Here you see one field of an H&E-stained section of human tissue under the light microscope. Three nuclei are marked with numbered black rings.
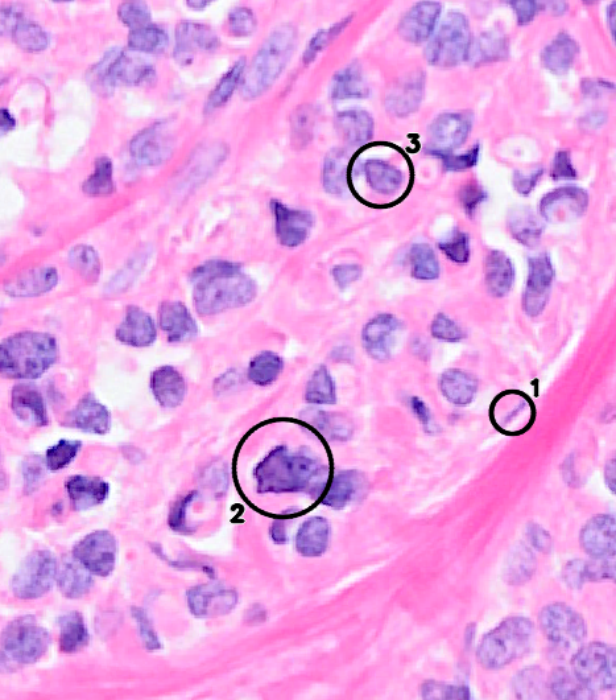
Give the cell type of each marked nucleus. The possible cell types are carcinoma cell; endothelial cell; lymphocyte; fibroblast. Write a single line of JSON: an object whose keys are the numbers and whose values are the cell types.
{"1": "fibroblast", "2": "carcinoma cell", "3": "carcinoma cell"}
